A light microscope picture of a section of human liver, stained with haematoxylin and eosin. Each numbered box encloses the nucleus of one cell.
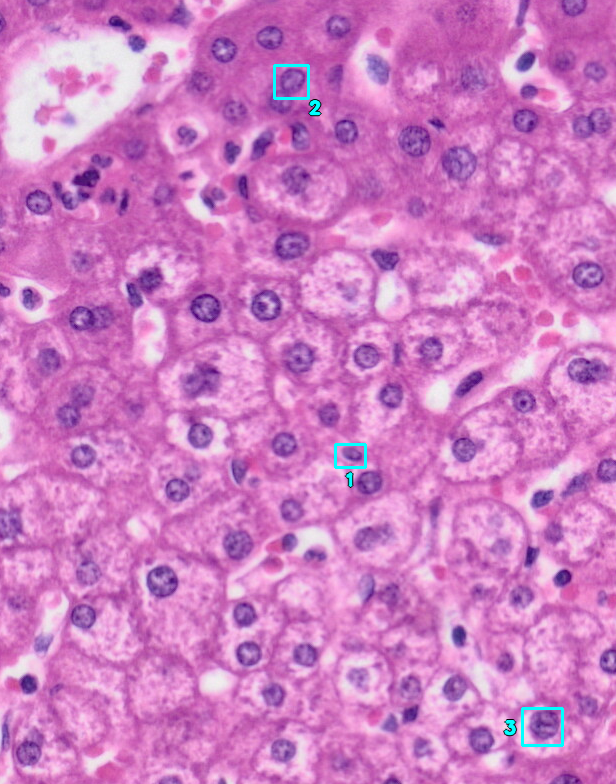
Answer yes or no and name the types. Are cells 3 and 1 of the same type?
No, cell number 3 is a hepatocyte, and cell number 1 is an endothelial cell.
